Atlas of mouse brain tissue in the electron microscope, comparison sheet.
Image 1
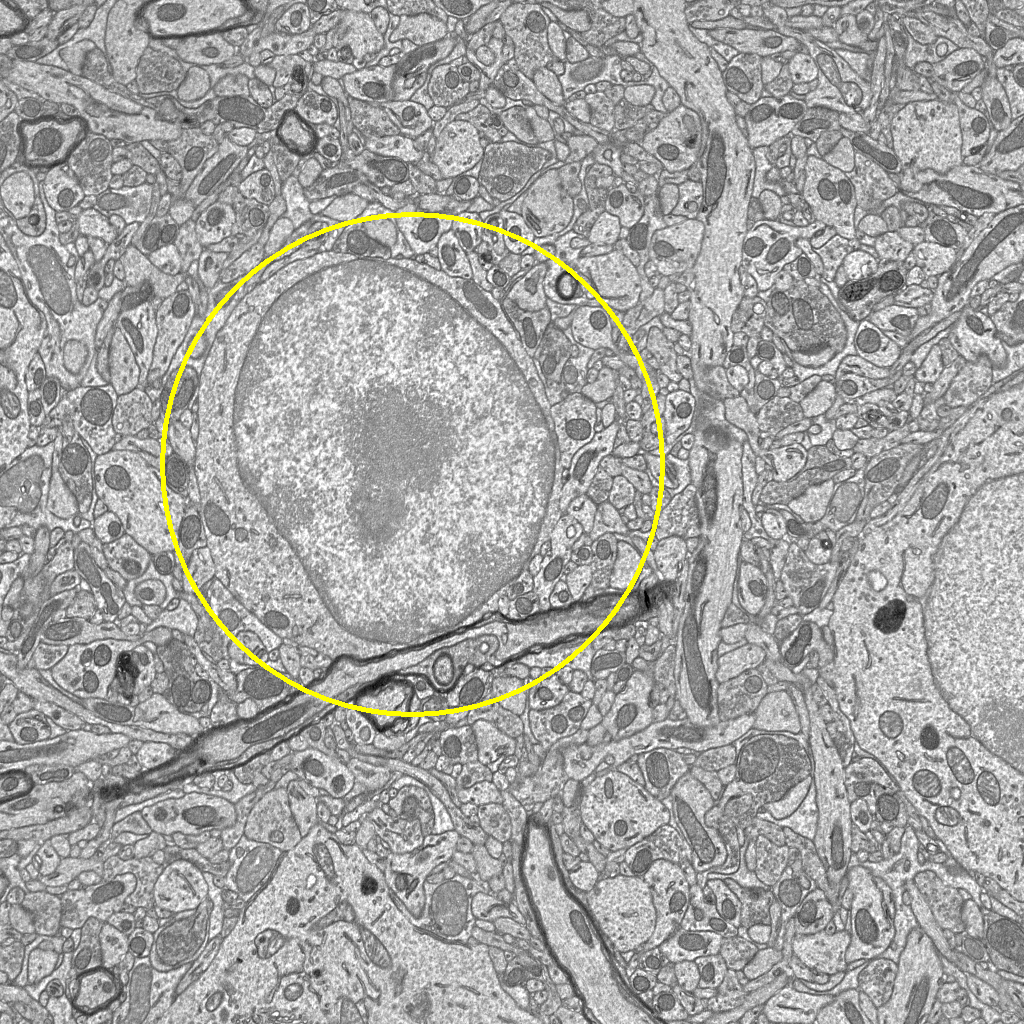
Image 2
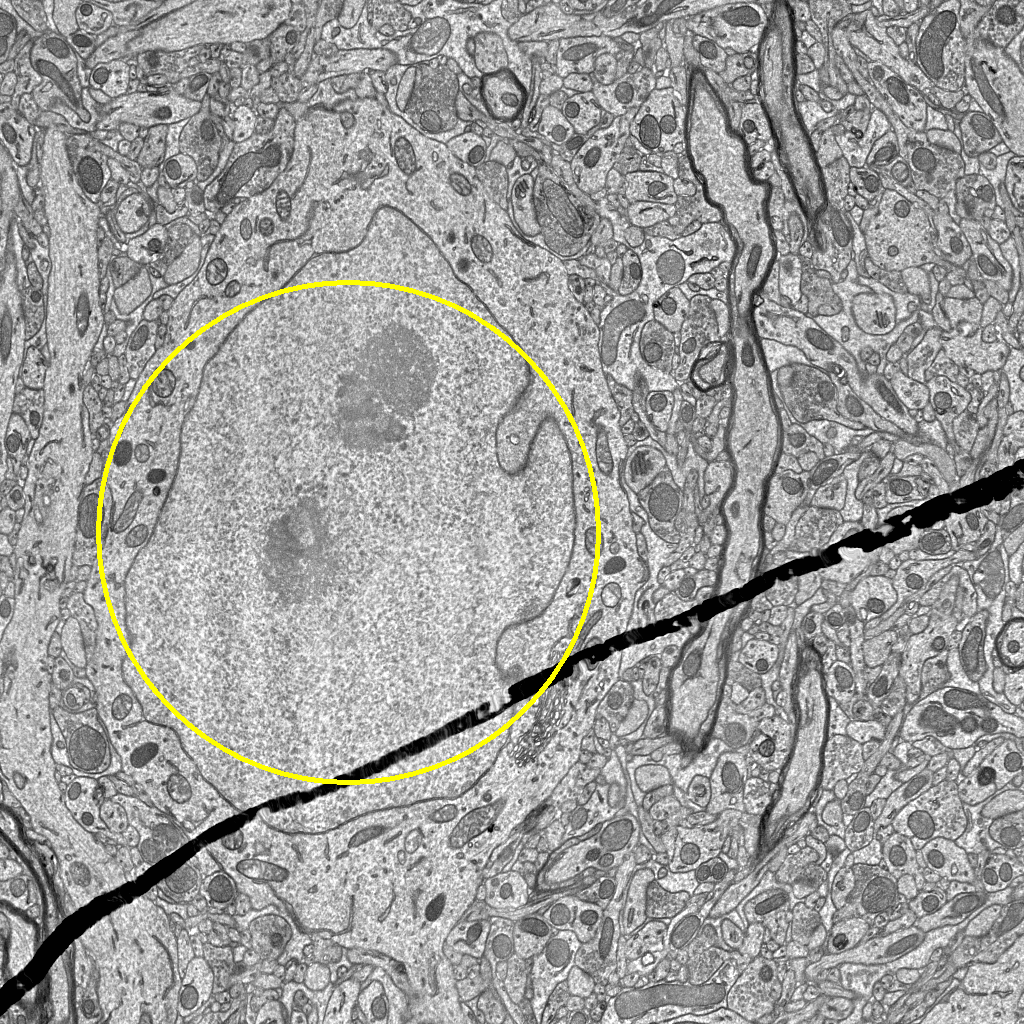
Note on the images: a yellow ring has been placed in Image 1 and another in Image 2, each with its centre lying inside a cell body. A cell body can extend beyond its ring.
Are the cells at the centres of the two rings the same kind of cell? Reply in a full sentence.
No, the two cells are of two kinds.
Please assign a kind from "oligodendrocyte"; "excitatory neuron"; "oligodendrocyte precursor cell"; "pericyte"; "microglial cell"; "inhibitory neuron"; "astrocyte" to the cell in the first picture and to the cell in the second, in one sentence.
The ring in the first picture surrounds an oligodendrocyte, and the ring in the second surrounds an excitatory neuron.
